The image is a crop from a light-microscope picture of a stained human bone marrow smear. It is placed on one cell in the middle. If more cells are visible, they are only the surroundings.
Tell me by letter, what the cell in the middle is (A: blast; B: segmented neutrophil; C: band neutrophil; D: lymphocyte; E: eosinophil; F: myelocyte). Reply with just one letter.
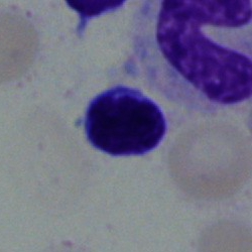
D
